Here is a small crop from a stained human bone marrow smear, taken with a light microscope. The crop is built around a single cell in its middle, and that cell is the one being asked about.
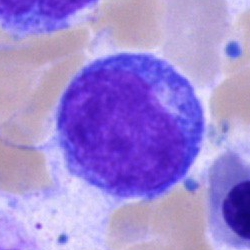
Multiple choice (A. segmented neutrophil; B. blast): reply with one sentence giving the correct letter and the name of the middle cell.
Option B gets it right: the cell in the middle is a blast.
